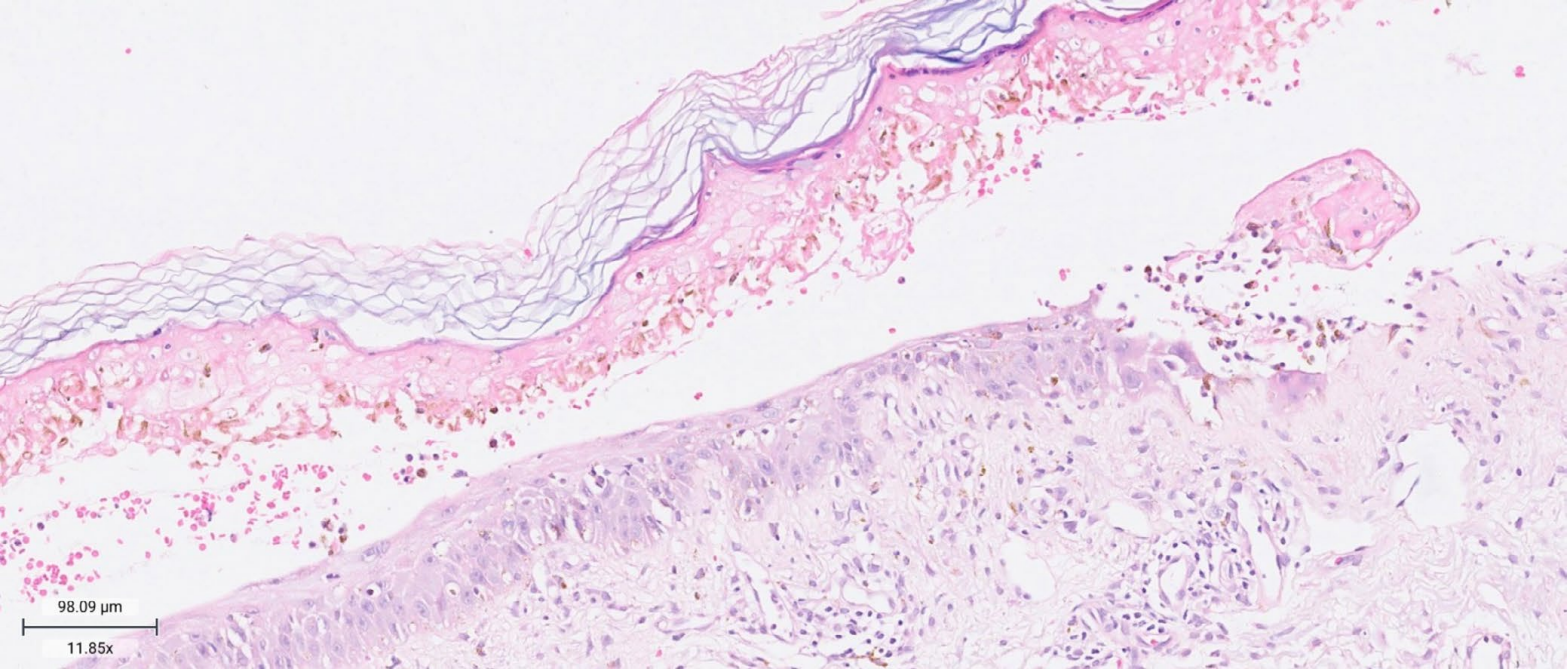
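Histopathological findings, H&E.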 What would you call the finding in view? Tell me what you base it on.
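Subepidermal cleft formation. A wide clear space runs diagonally across the section. A strip of epidermis with its cornified layer lies detached above this space. Nucleated tissue lies below the space, separated from the detached strip.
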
